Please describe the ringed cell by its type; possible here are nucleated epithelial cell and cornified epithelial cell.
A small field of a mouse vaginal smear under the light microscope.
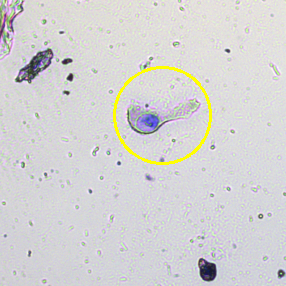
The yellow ring marks a nucleated epithelial cell.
